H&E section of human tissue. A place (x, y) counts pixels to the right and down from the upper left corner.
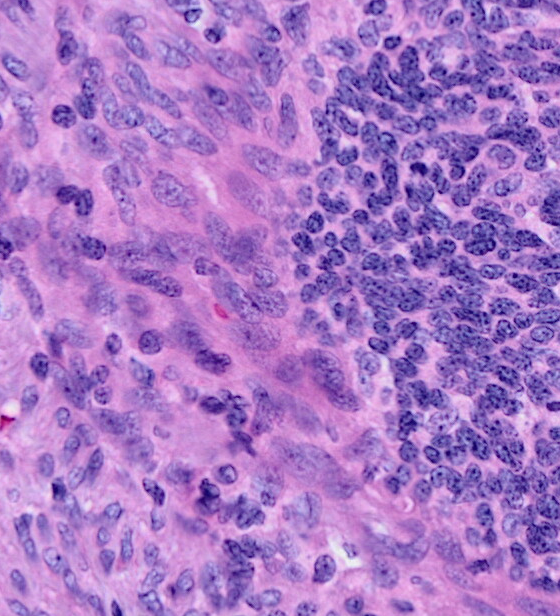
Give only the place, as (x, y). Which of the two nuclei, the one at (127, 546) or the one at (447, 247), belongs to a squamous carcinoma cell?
(447, 247)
